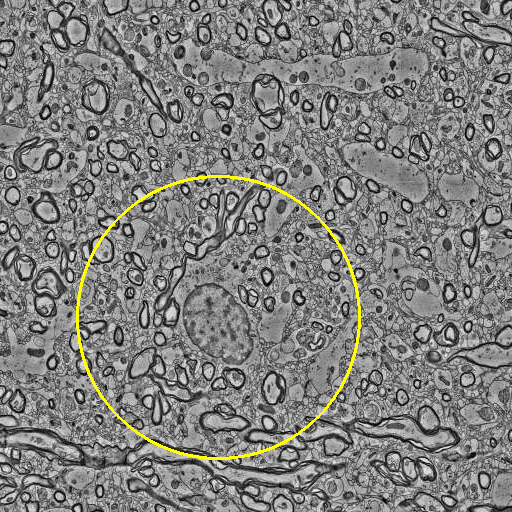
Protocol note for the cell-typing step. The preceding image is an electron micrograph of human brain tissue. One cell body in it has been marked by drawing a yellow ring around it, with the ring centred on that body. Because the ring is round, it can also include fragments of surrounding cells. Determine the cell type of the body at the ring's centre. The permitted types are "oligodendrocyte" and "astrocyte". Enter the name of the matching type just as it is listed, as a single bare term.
oligodendrocyte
